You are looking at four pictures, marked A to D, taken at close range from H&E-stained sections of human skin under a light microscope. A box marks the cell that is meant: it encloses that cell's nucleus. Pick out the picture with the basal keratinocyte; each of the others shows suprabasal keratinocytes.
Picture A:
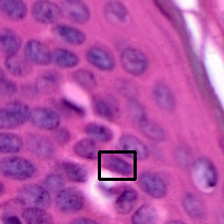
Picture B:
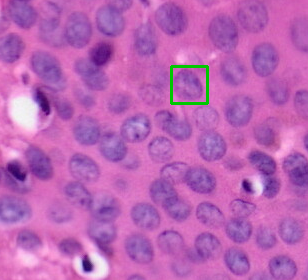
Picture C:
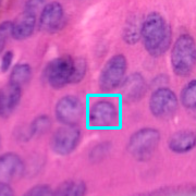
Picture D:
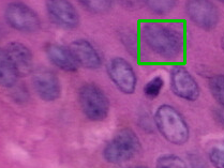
A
